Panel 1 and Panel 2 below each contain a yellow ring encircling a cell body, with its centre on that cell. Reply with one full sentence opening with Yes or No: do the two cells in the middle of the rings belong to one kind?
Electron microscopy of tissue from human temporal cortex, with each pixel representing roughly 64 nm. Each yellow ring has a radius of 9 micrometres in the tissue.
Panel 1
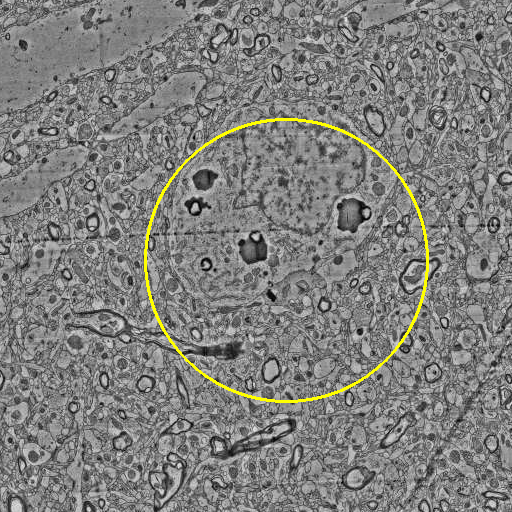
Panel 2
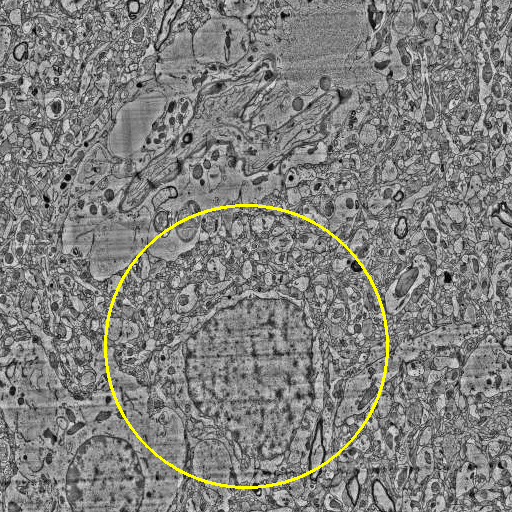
No, the cells at the middle of the Panel 1 ring and the Panel 2 ring are of two kinds.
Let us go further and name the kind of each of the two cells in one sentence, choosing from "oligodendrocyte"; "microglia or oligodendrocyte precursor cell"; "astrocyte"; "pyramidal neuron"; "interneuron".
The ring of the first picture is on an oligodendrocyte, the ring of the second on an interneuron.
